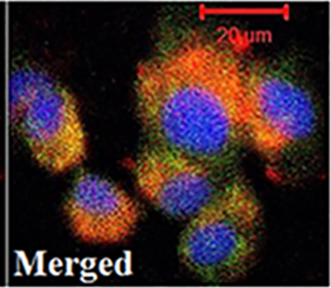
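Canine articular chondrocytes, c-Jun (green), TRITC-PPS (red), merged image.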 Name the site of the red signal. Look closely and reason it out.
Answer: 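Red-orange fluorescence surrounds the blue nuclei. The red-orange signal fills the cell bodies outside the nuclei.
Perinuclear and cytoplasmic area.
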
